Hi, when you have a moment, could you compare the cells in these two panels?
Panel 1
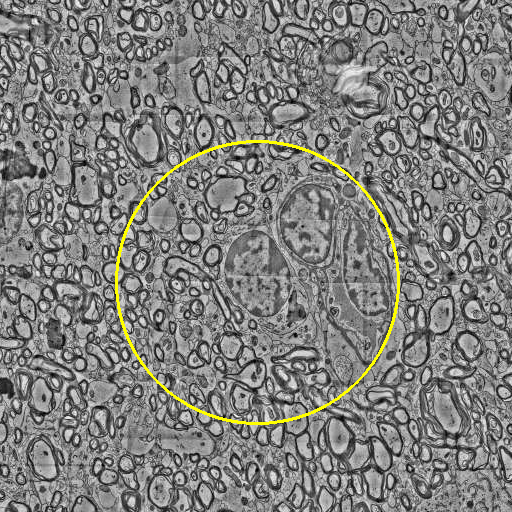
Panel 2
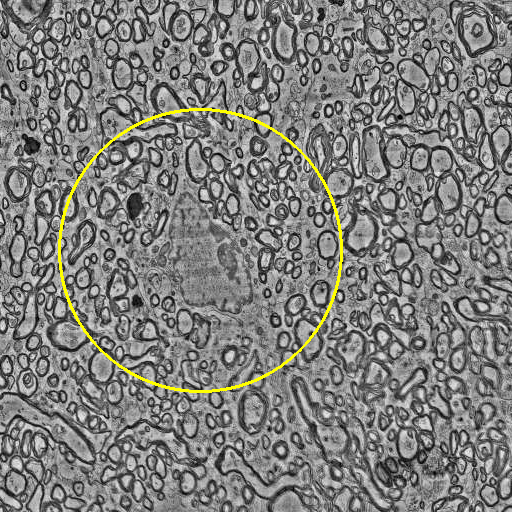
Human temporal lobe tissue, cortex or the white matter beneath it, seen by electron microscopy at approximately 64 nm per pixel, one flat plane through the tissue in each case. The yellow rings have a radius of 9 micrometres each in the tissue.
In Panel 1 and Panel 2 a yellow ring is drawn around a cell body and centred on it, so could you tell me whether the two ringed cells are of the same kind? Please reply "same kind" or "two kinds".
two kinds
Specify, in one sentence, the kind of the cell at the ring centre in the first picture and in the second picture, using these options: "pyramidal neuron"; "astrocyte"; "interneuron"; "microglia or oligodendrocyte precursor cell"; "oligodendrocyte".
So the first is a microglial cell or oligodendrocyte precursor cell, the second an astrocyte.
